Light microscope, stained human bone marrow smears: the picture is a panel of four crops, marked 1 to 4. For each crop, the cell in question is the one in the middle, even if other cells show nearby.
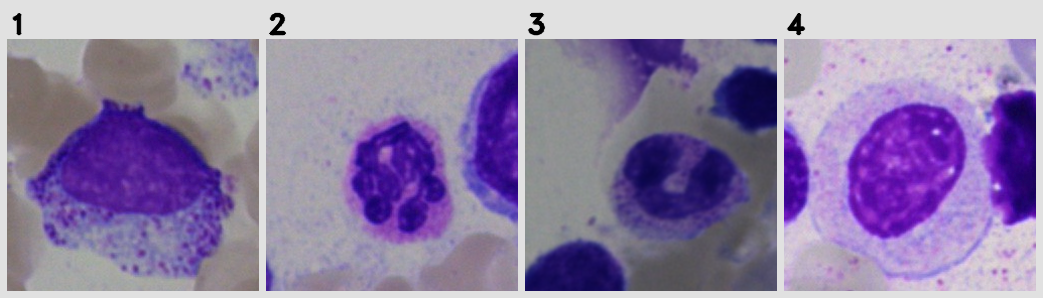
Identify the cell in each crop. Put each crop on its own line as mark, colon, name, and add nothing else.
1: myelocyte
2: segmented neutrophil
3: segmented neutrophil
4: myelocyte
